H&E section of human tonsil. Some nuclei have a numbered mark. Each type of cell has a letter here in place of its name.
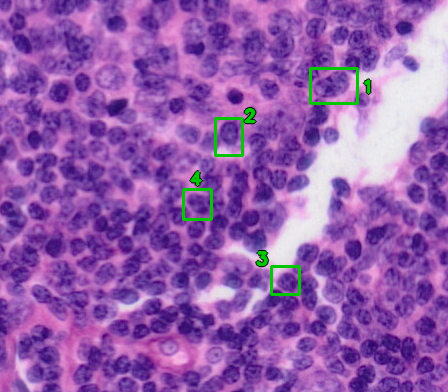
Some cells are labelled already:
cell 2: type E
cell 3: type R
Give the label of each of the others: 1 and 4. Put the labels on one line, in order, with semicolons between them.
type E; type R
